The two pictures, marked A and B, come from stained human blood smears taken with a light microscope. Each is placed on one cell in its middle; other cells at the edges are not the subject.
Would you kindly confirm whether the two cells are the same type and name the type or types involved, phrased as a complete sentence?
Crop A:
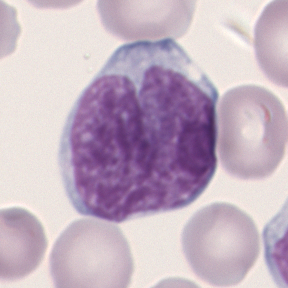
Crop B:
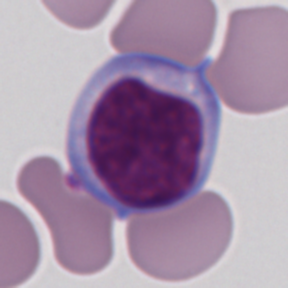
No, the cell centred in crop A is a myeloblast, and that centred in crop B is a typical lymphocyte.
